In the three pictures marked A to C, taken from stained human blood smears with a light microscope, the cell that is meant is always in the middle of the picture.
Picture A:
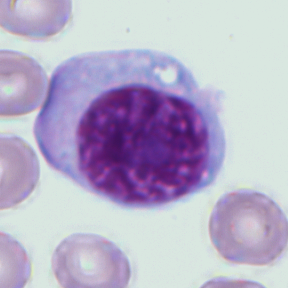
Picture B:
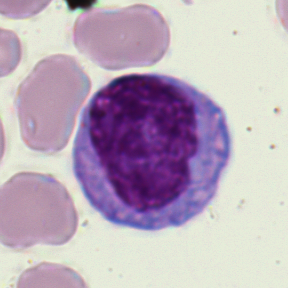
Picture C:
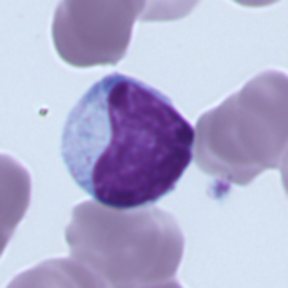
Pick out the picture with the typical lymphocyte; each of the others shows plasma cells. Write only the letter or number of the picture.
C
